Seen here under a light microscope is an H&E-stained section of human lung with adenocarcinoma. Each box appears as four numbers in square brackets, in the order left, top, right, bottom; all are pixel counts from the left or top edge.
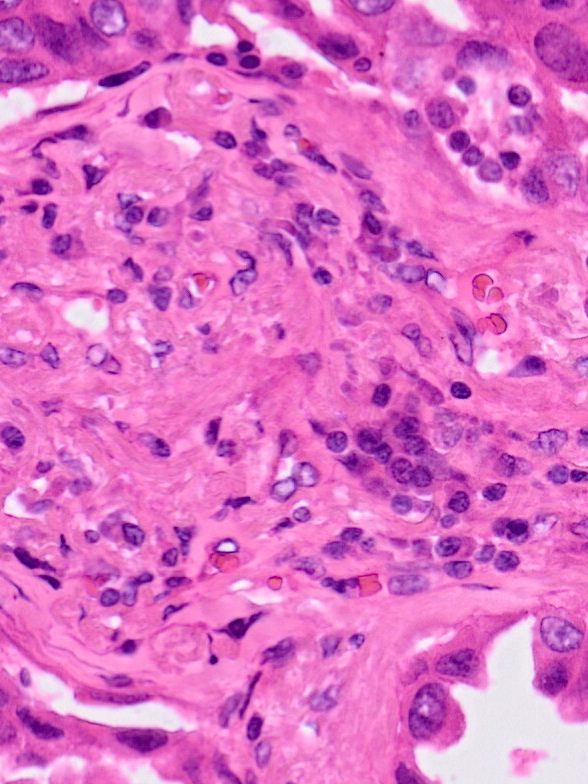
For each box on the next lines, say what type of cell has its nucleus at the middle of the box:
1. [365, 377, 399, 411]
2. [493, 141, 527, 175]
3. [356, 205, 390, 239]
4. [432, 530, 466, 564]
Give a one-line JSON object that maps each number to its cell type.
{"1": "plasma cell", "2": "lymphocyte", "3": "plasma cell", "4": "plasma cell"}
